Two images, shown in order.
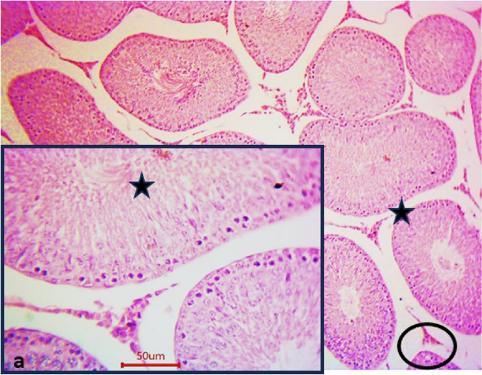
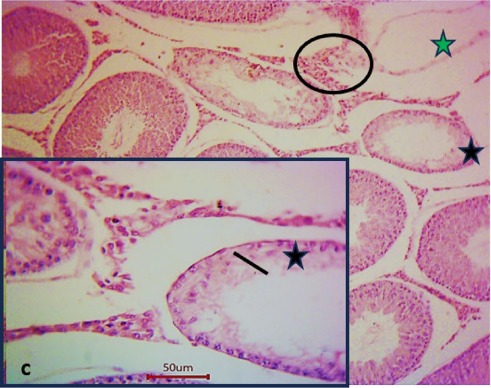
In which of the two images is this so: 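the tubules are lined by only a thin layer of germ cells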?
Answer: The second image.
